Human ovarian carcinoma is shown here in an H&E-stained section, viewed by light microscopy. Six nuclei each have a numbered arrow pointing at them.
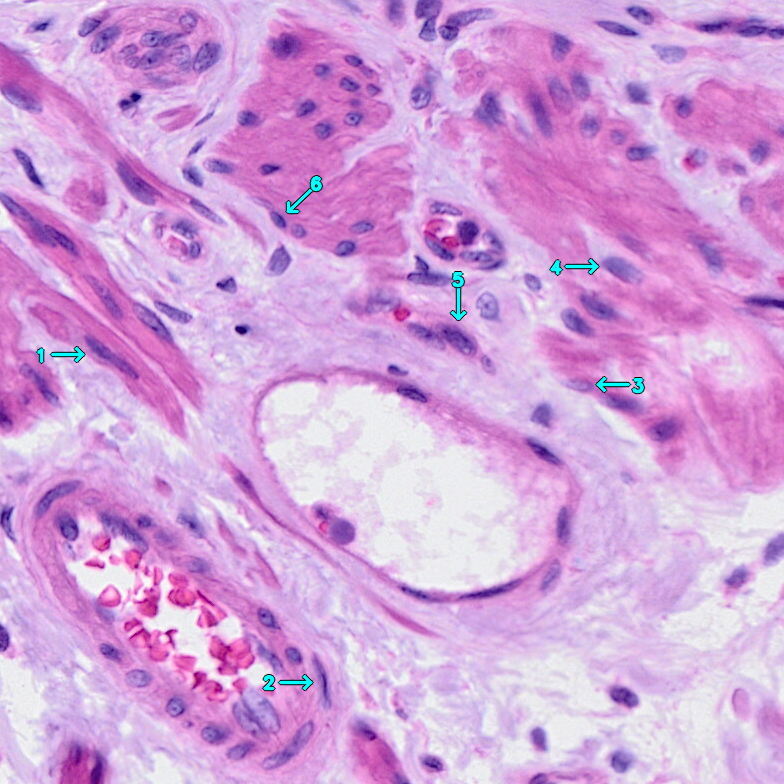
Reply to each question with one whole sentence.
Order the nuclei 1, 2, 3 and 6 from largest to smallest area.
By area, largest first, they run 1, 2, 3, 6.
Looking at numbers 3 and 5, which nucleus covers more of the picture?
Number 5 is larger; its area is about 2 times that of number 3.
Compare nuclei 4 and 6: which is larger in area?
Nucleus 4 is the larger one, covering about 4 times the area of nucleus 6.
